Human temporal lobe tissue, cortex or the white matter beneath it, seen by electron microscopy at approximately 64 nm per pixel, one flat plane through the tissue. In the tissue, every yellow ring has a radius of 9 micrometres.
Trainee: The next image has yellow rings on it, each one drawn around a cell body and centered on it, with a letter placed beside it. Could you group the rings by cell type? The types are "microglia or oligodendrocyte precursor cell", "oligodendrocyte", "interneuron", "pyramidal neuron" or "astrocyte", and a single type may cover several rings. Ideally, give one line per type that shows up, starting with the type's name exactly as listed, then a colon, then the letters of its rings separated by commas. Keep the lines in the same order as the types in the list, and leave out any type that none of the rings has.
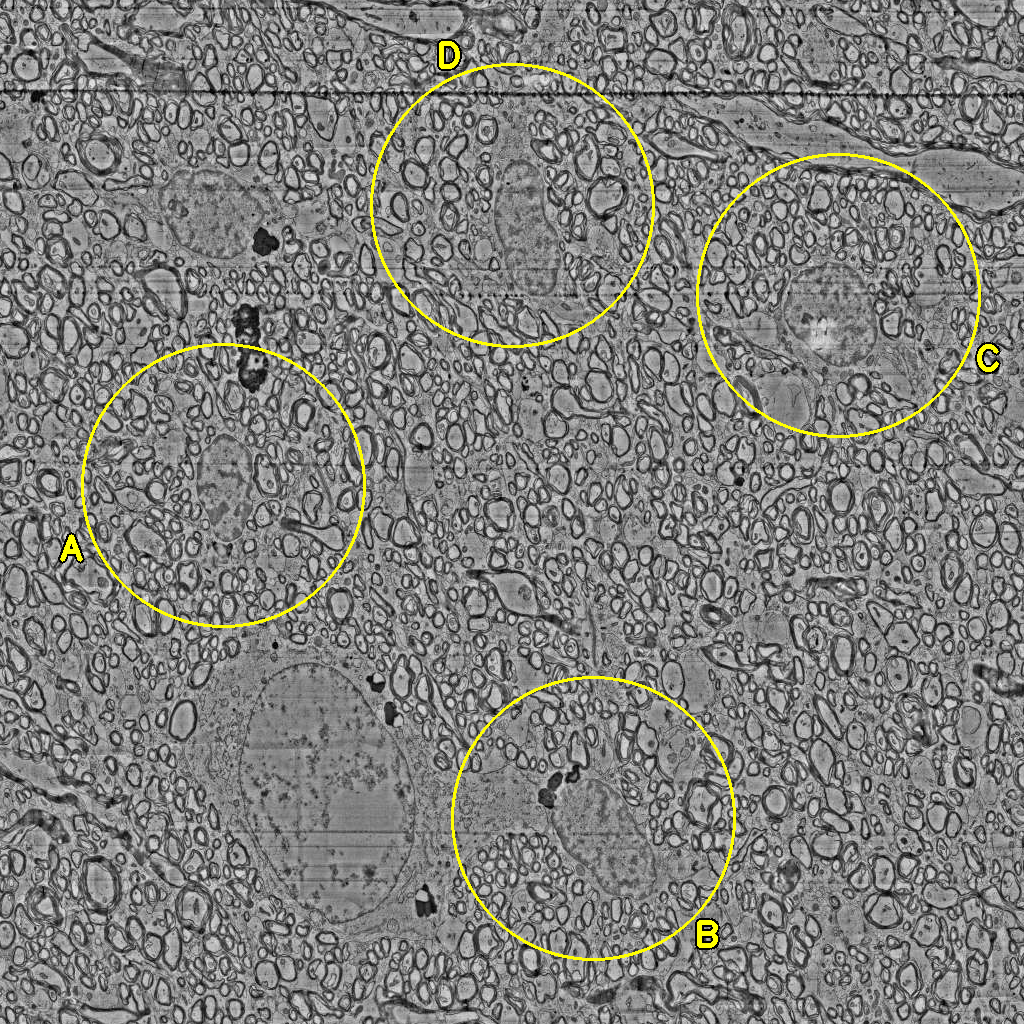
microglia or oligodendrocyte precursor cell: A
oligodendrocyte: B, C, D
